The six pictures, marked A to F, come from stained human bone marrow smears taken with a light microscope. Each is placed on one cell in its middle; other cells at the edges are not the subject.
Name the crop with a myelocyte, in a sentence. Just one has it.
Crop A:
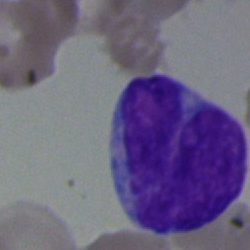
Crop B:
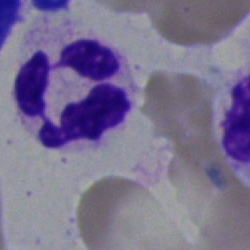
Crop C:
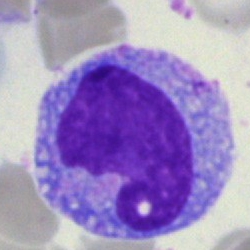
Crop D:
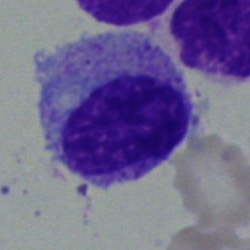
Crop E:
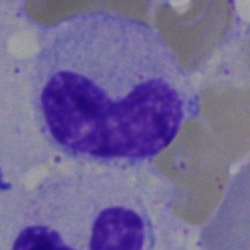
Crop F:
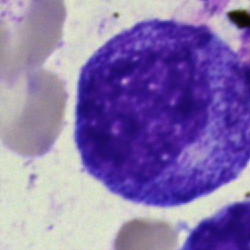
So the crop with a myelocyte at its center is crop D.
